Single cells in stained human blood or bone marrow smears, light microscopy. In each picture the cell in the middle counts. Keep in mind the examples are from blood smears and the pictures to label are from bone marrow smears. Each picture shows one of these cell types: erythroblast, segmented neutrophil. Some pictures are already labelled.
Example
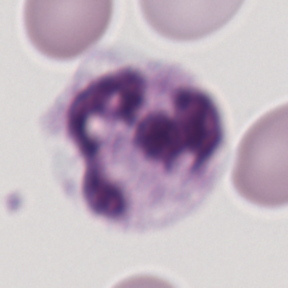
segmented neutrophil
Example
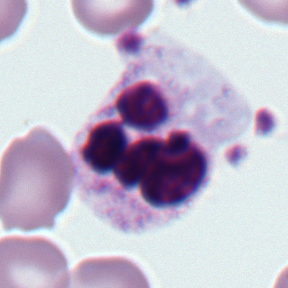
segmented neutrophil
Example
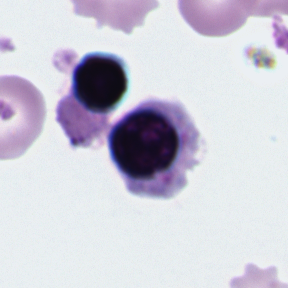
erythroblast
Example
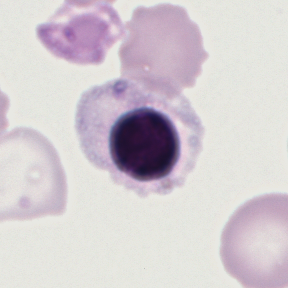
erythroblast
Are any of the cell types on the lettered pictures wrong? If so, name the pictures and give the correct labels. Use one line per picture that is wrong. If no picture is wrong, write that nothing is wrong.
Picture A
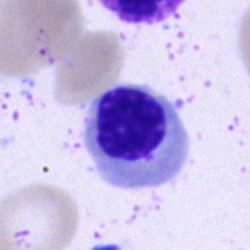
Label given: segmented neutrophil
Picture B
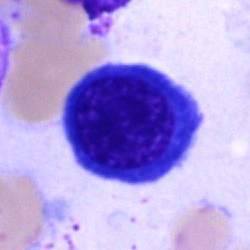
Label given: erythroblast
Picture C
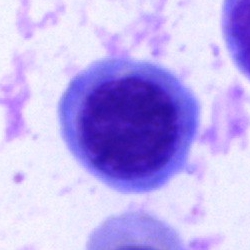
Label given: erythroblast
Wrong: A (segmented neutrophil); correct: erythroblast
